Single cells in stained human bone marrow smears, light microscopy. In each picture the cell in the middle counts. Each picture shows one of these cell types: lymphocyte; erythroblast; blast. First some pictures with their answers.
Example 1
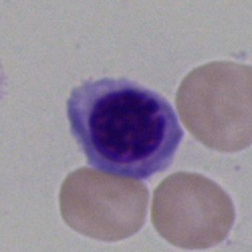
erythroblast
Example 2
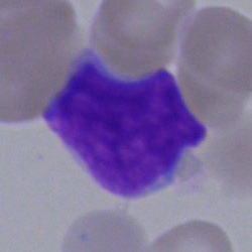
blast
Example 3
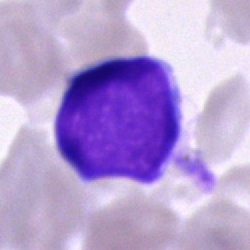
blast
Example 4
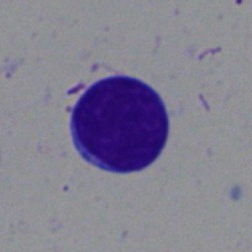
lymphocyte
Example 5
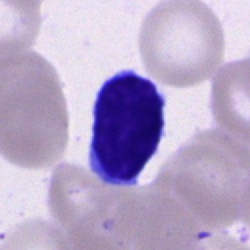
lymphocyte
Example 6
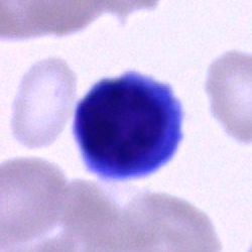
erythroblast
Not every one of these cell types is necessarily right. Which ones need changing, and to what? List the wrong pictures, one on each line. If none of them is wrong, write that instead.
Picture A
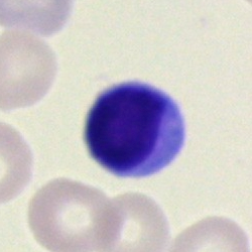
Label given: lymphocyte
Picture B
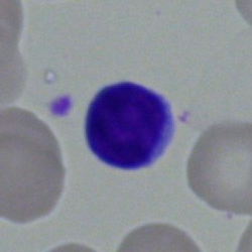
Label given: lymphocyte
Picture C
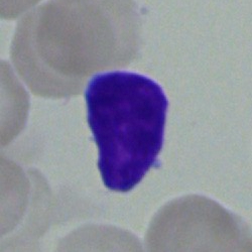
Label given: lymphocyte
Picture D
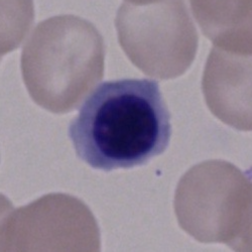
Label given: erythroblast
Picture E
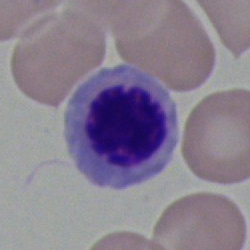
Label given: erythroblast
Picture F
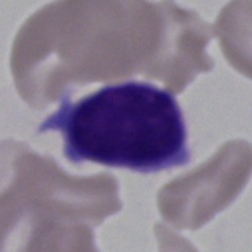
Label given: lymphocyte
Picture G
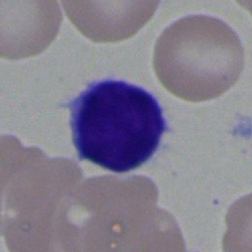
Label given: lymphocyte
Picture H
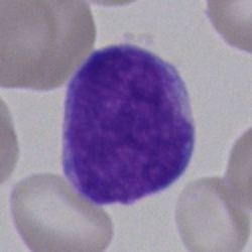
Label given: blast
All labels are correct.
